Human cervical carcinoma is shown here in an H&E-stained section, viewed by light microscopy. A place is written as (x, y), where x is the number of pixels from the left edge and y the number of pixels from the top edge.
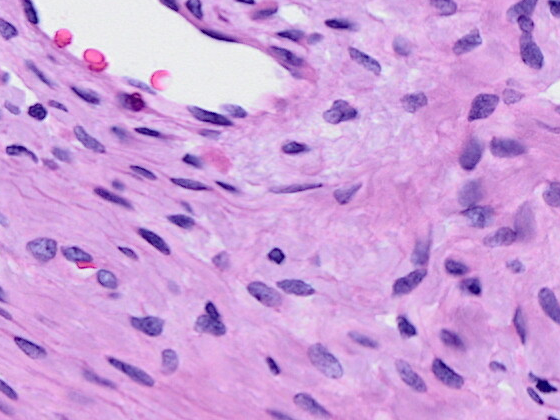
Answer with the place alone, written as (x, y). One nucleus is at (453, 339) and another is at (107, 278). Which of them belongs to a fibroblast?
(453, 339)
